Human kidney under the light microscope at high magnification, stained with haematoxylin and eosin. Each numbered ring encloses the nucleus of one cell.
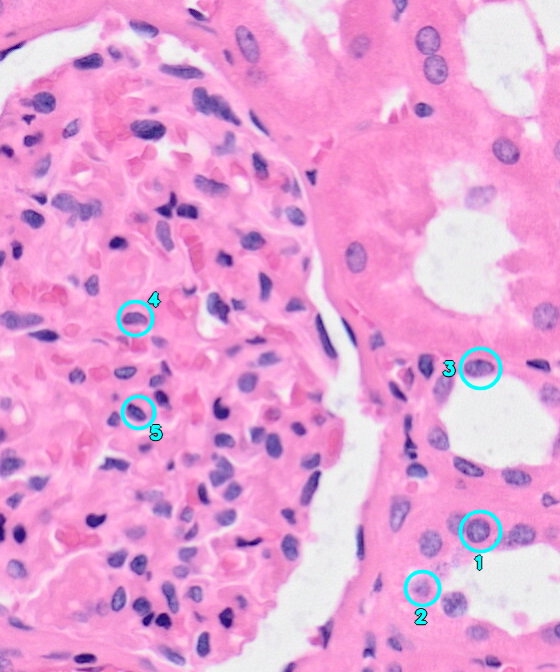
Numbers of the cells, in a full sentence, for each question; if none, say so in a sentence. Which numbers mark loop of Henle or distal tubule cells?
In this section, the cells numbered 1, 2 and 3 are loop of Henle or distal tubule cells.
